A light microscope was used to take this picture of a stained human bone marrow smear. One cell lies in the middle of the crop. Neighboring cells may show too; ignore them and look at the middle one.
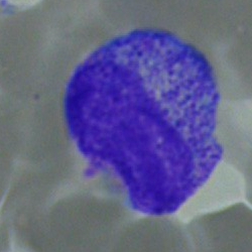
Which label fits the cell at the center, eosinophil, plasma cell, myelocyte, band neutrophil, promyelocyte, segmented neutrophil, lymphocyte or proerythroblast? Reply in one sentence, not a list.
The cell marked by its central position in the crop is a myelocyte.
